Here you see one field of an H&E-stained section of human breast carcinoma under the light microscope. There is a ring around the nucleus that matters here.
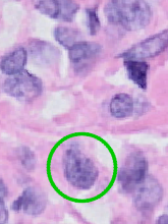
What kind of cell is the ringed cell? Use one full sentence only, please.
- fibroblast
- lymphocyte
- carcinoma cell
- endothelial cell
Considered by cell type, the ringed cell is a carcinoma cell.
